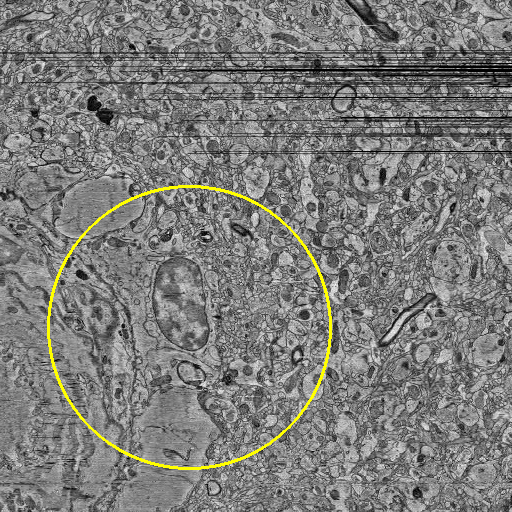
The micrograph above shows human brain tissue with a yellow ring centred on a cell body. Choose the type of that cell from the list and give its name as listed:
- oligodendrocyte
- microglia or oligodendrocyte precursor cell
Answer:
microglia or oligodendrocyte precursor cell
